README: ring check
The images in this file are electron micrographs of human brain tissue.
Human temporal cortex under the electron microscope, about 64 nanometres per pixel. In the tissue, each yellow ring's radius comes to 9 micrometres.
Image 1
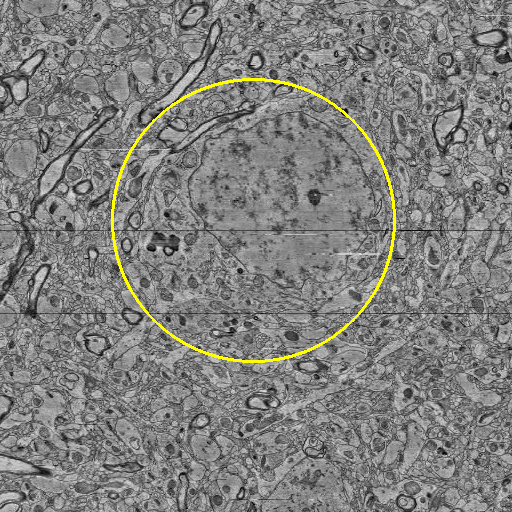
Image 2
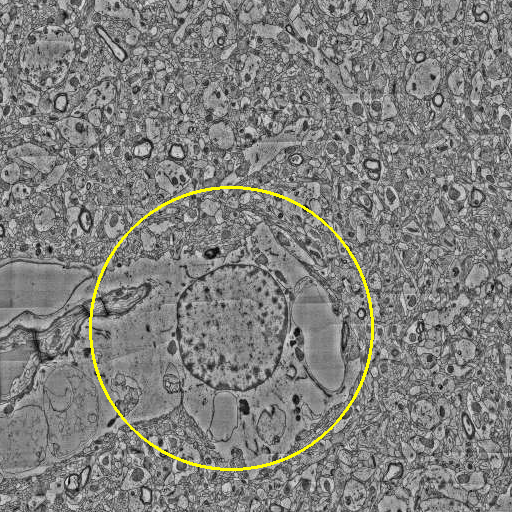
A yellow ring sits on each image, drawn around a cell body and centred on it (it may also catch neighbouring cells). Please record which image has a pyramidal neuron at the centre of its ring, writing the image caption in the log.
Image 1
